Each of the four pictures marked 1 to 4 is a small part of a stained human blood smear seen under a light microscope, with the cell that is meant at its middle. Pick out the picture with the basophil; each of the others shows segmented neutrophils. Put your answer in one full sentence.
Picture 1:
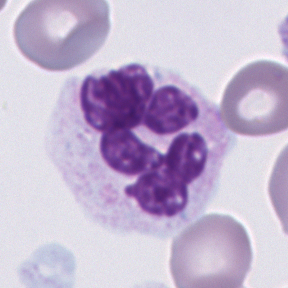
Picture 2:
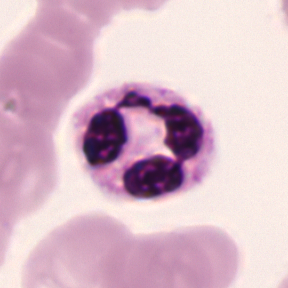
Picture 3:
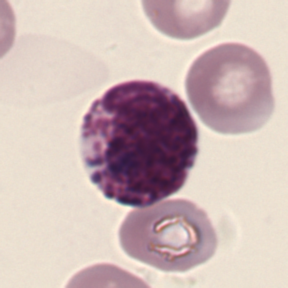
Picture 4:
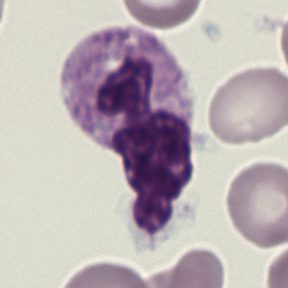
Picture 3 is the one that shows the basophil.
